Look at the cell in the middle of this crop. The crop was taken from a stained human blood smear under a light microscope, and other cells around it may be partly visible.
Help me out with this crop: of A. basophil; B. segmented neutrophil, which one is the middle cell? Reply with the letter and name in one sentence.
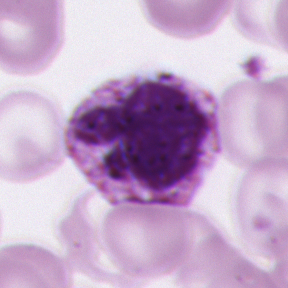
Well, the cell in the middle is a basophil, making option A right.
